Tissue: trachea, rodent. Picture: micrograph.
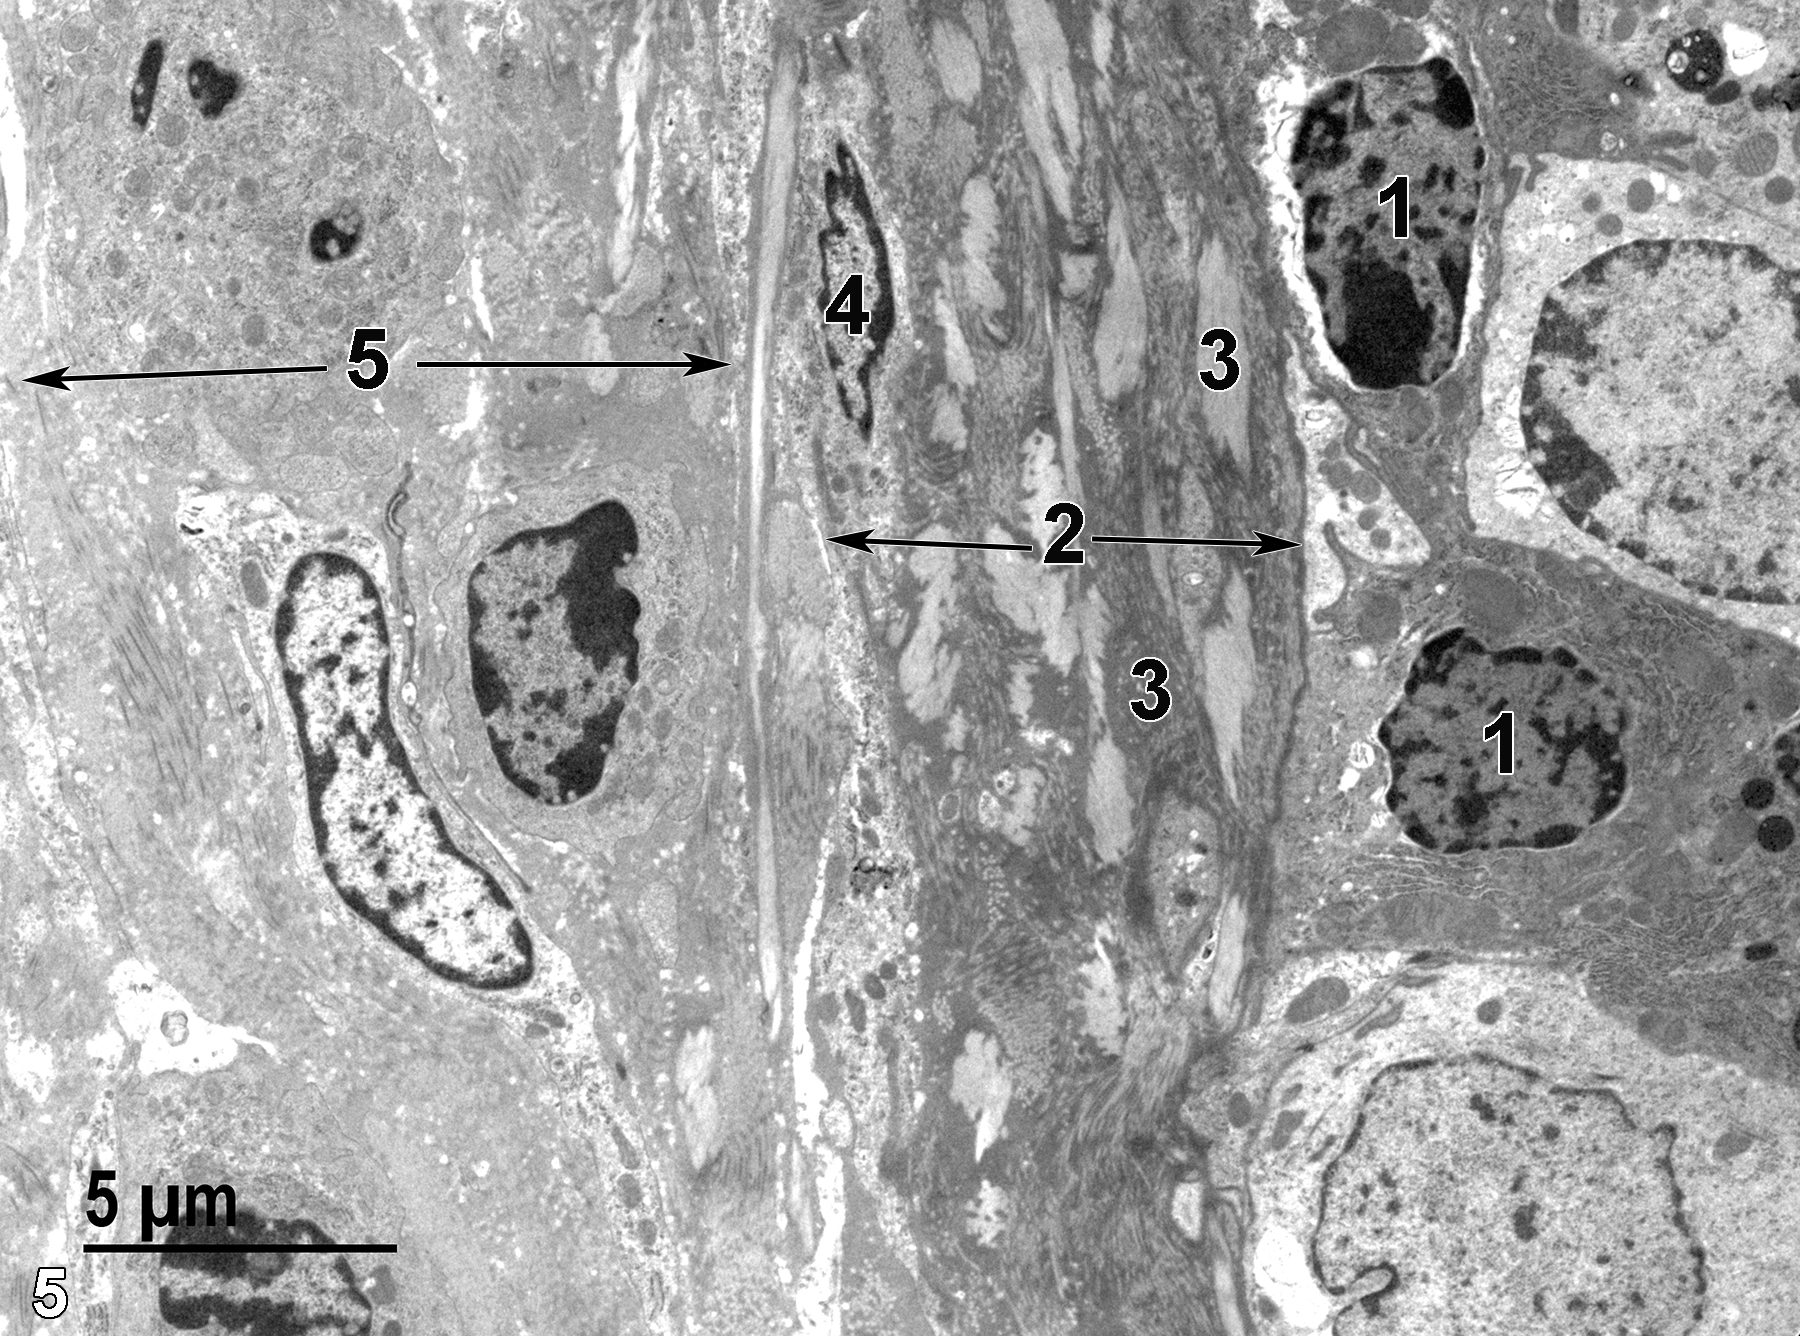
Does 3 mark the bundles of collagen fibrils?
Yes.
